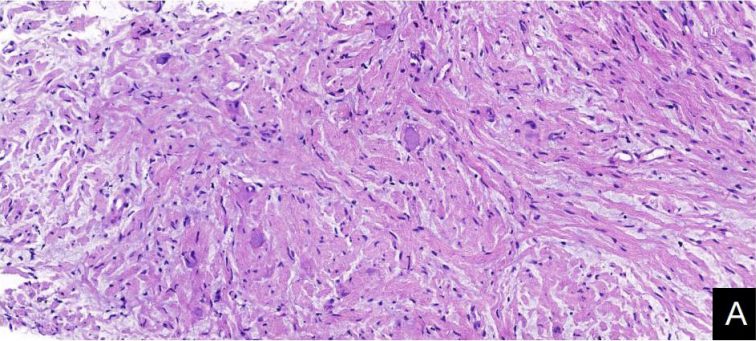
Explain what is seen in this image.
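This section shows mature ganglion cells scattered diffusely among spindle cells of proliferating nerve sheath and nerve fibers. The spindle cells far outnumber them; they have slender, wavy, dark nuclei and run in interlacing, loosely arranged fascicles. Between them lies a pale pink fibrillary and collagenous stroma with a few small vessels. The ganglion cells lie singly rather than in clusters, embedded within the spindle cell background.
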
